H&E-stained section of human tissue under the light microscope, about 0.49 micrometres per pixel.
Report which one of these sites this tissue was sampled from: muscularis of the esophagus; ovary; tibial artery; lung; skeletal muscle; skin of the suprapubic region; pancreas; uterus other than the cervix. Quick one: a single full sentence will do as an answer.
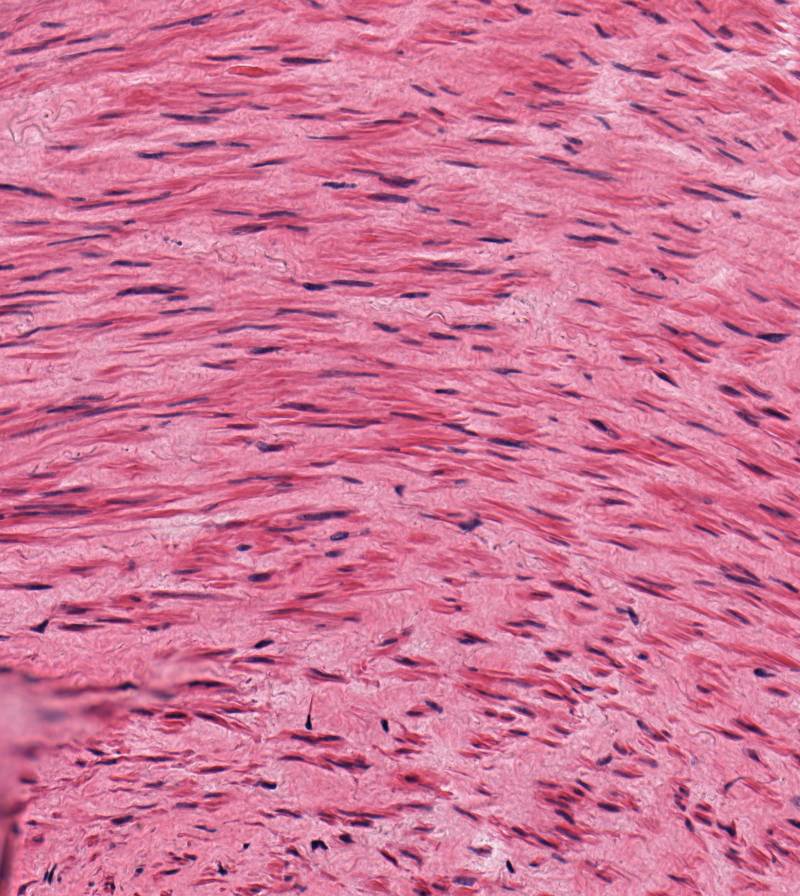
Tissue on this slide was obtained from the tibial artery.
